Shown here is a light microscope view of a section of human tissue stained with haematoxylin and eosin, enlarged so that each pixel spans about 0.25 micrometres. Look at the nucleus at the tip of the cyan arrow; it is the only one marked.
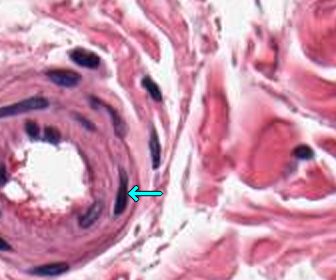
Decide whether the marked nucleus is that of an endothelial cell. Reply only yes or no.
no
